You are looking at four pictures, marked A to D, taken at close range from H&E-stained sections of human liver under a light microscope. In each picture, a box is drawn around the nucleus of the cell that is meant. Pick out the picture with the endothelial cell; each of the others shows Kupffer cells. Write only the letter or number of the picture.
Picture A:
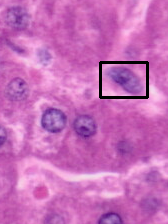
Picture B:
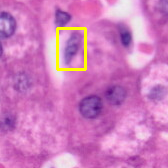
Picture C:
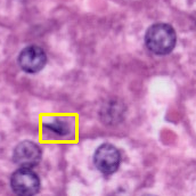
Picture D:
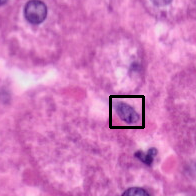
C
